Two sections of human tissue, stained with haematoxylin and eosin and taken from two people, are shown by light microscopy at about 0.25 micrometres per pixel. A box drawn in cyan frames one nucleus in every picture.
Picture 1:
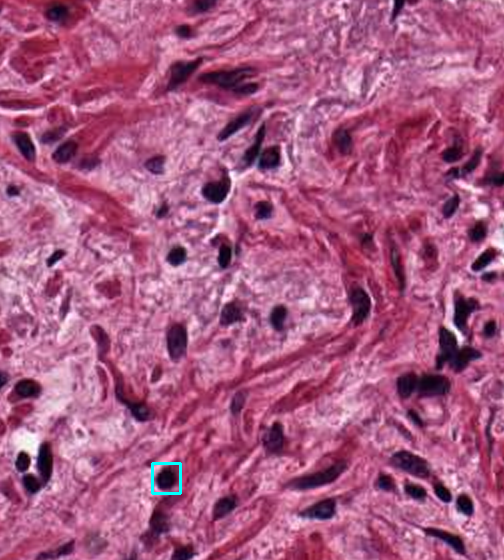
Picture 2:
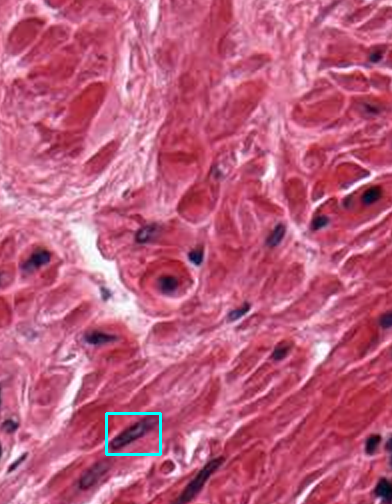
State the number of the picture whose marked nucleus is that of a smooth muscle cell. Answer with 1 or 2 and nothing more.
2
